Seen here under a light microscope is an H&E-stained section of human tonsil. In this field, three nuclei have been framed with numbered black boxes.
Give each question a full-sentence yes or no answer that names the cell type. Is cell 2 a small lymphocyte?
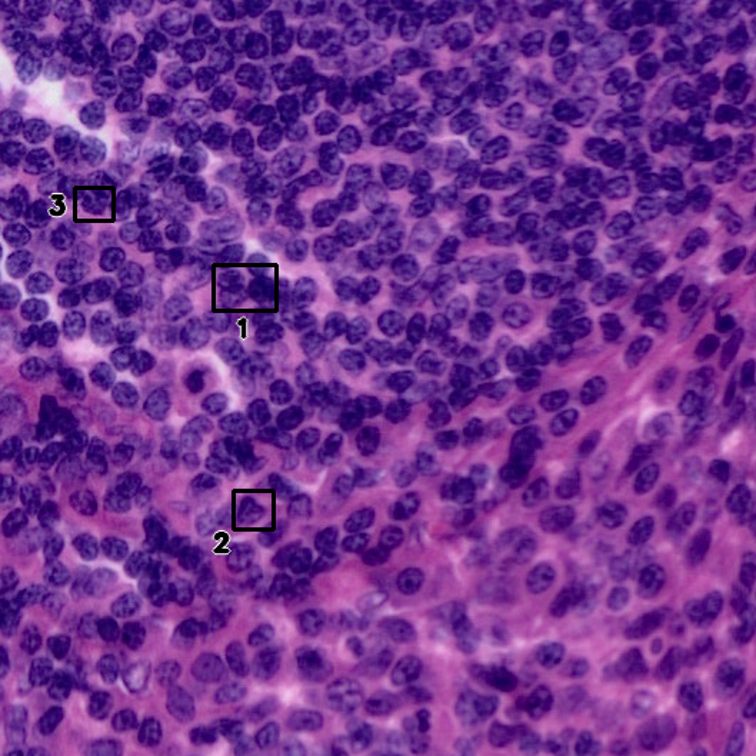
No, rather than a small lymphocyte, cell number 2 is a plasma cell.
